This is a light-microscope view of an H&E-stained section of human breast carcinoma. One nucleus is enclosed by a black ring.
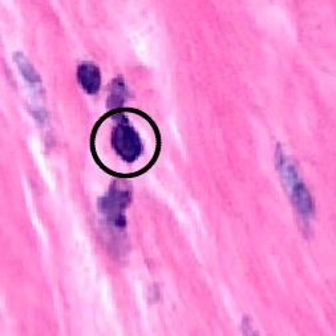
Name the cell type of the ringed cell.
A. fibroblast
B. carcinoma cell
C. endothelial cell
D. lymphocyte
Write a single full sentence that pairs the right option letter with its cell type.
Identified correctly by option D, the ringed cell is a lymphocyte.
